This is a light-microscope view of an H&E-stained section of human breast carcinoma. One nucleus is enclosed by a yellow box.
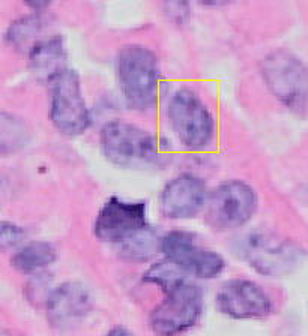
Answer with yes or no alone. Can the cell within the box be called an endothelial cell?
no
